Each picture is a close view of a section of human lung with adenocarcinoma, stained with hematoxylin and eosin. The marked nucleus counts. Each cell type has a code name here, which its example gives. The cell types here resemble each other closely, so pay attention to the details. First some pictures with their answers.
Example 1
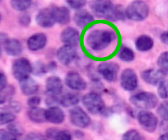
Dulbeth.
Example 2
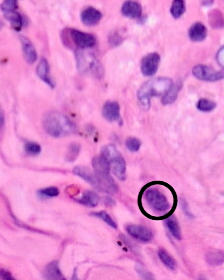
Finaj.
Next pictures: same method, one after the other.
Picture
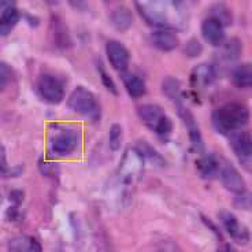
Dulbeth.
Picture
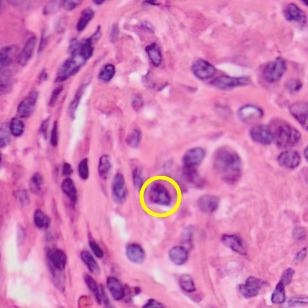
Finaj.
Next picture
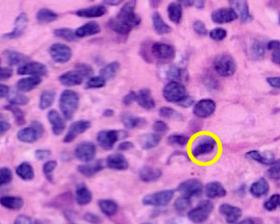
Finaj.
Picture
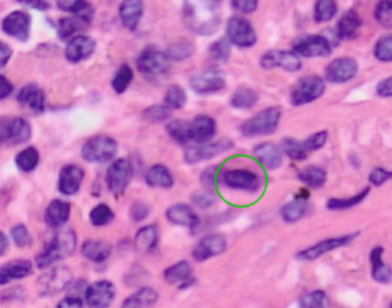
Finaj.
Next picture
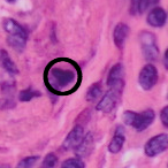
Finaj.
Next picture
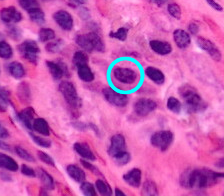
Finaj.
